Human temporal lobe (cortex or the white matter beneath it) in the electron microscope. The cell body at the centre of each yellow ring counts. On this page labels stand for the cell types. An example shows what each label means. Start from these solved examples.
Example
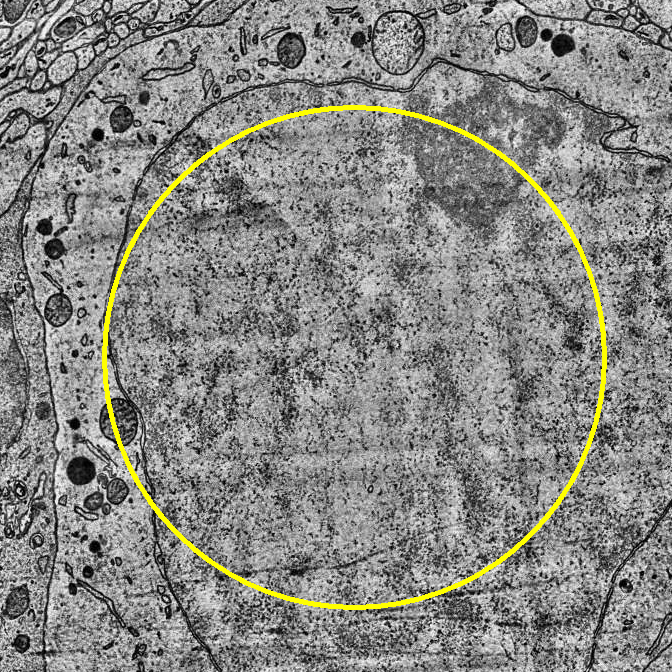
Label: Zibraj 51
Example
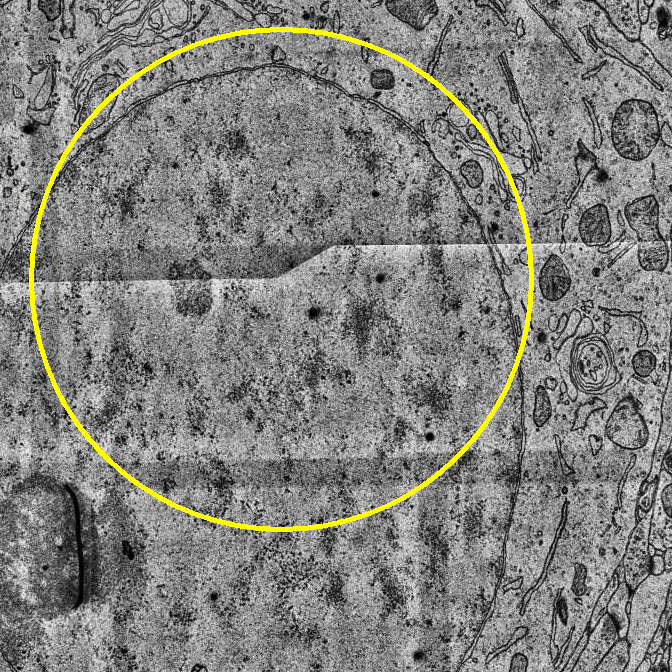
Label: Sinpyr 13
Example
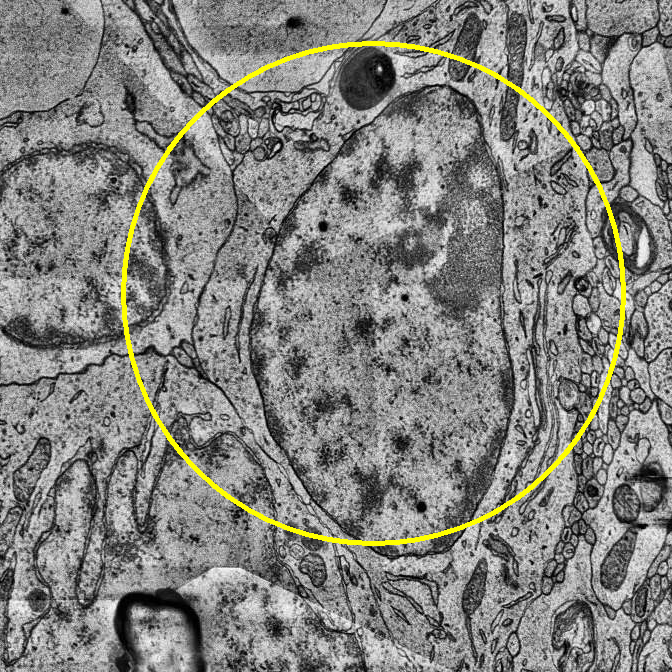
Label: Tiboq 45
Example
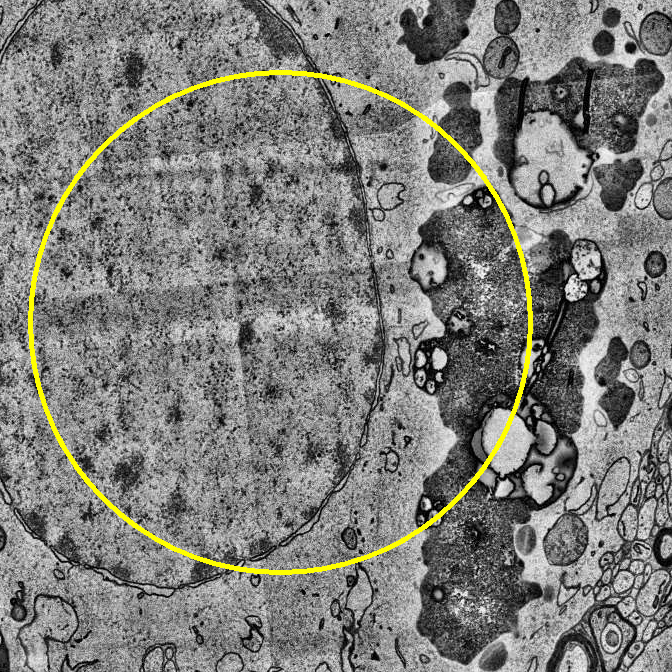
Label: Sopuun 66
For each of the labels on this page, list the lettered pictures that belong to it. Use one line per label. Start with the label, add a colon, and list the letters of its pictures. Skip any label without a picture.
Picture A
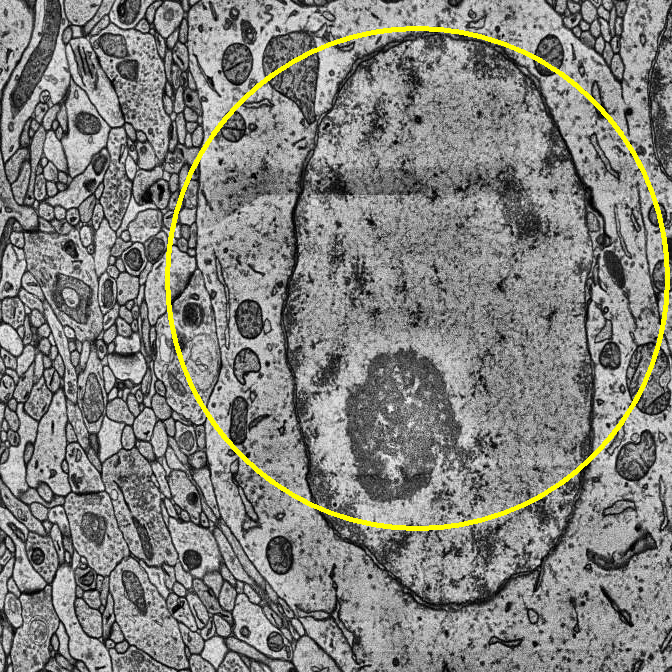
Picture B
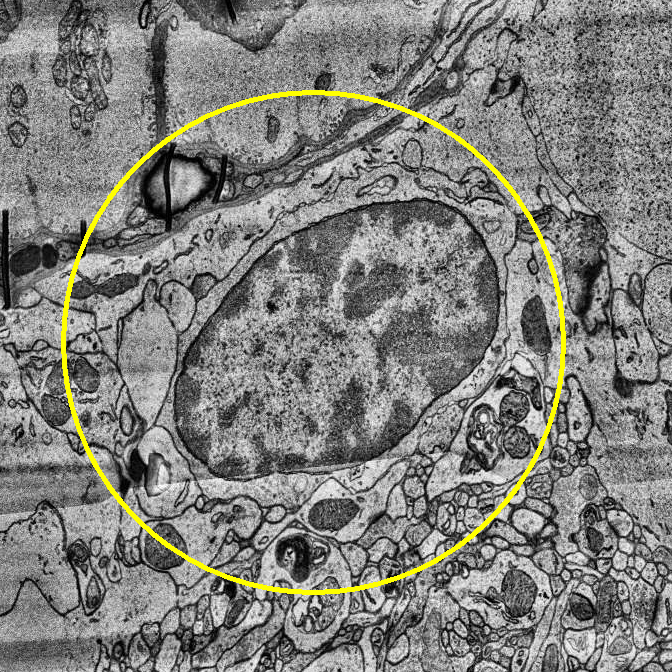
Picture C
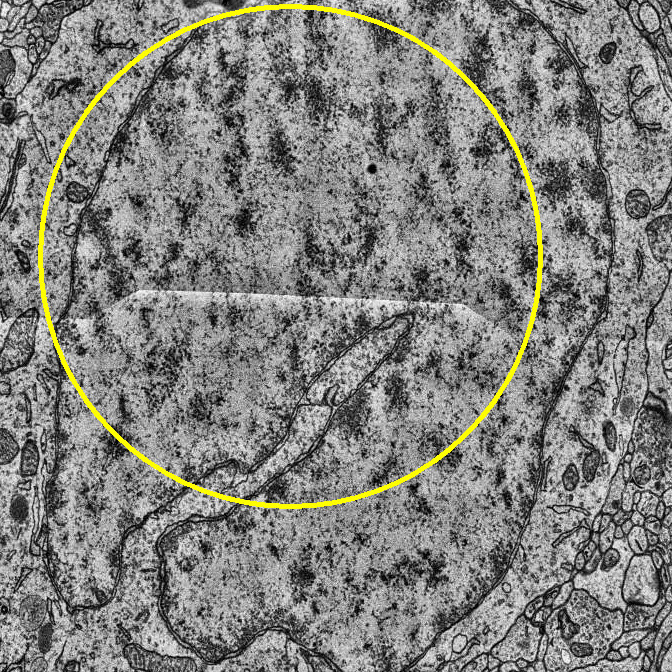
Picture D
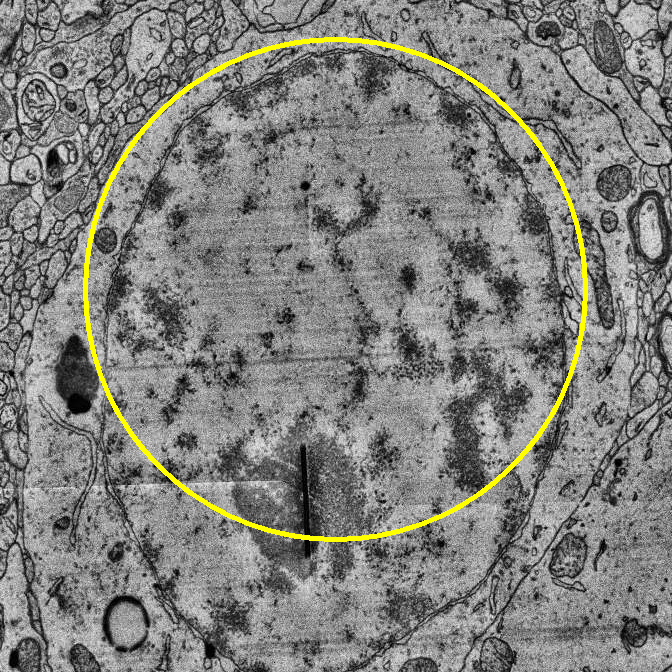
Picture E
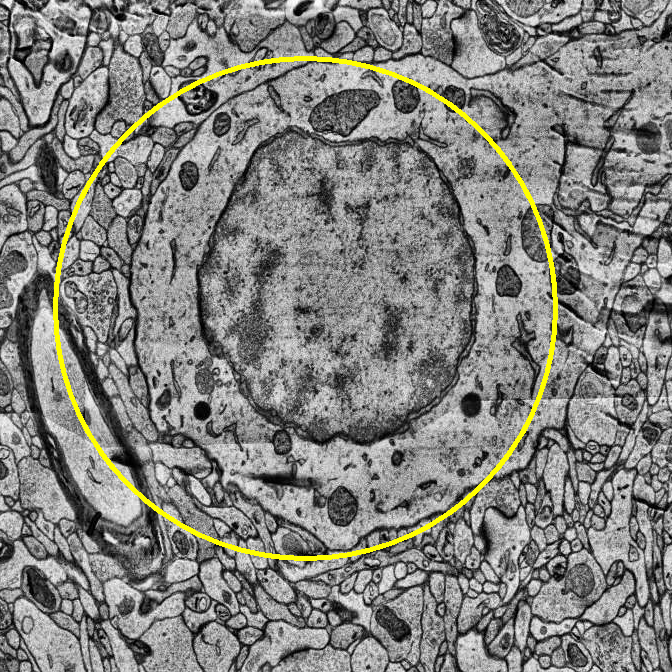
Zibraj 51: A, E
Sinpyr 13: C, D
Tiboq 45: B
